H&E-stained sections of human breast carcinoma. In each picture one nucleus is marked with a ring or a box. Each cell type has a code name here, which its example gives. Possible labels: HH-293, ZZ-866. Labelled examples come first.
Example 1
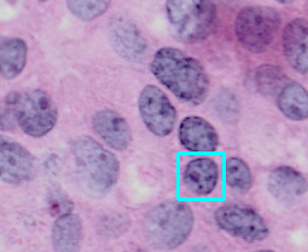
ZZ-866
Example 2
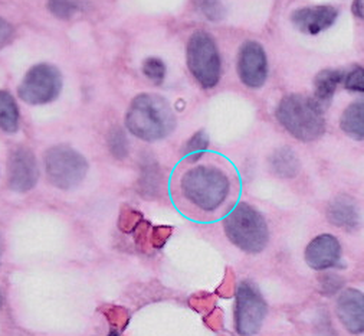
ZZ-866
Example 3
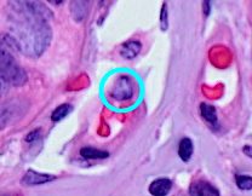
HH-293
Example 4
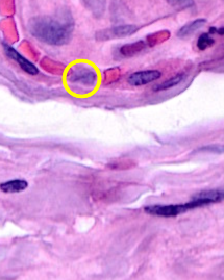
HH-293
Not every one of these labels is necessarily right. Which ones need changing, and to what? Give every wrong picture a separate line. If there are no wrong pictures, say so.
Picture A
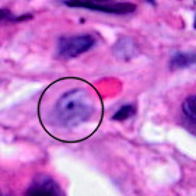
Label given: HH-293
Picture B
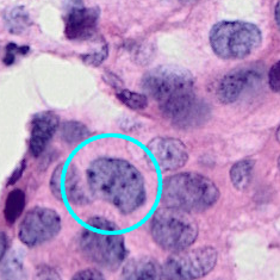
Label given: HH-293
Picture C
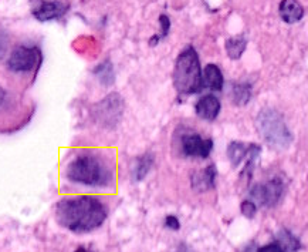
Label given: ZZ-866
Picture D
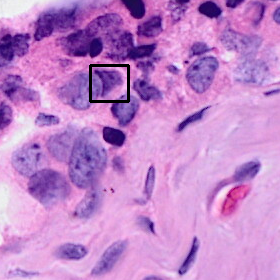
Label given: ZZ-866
Wrong: B (HH-293); correct: ZZ-866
